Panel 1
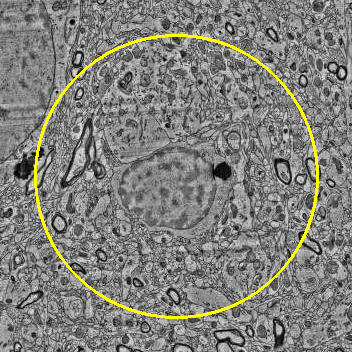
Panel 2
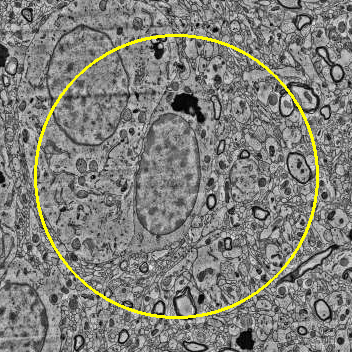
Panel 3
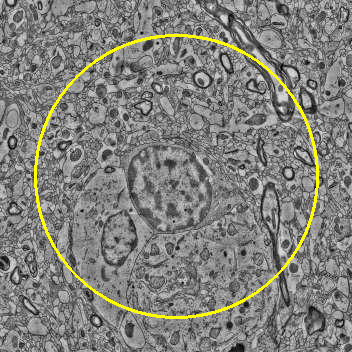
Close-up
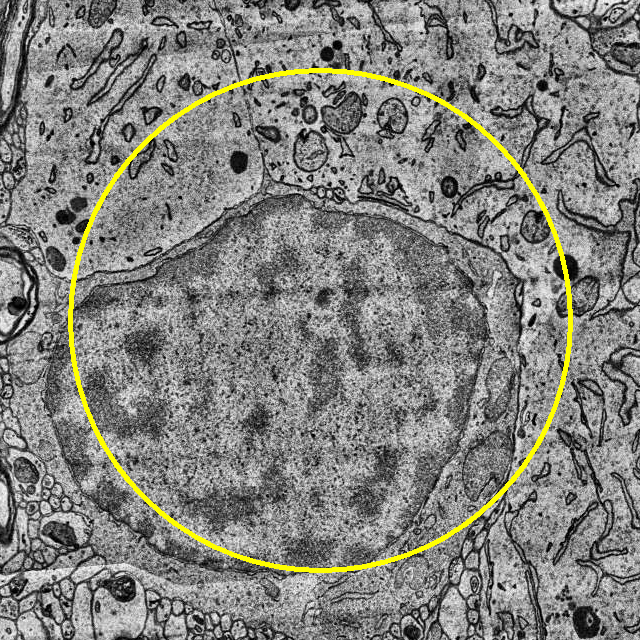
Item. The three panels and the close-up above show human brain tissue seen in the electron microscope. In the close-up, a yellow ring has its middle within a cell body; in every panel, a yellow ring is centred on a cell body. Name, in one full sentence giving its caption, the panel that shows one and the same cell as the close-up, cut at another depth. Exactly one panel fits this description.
The enlarged cell is the same one ringed in Panel 1.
